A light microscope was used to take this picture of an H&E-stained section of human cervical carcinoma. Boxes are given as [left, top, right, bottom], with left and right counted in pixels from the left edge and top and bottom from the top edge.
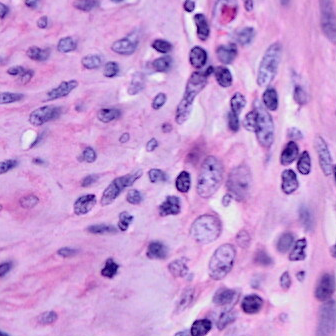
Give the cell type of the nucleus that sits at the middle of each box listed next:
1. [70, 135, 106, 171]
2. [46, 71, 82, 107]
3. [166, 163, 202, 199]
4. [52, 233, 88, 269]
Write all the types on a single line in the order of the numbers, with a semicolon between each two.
smooth muscle cell; smooth muscle cell; lymphocyte; smooth muscle cell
